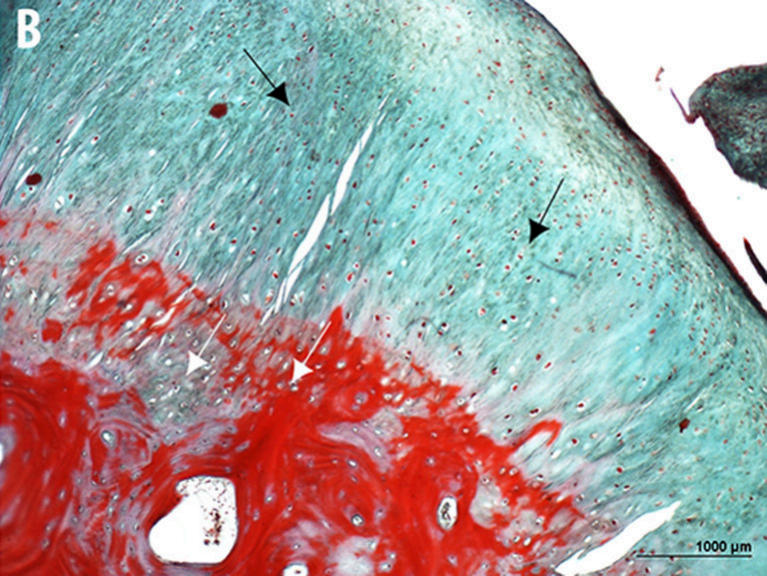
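A thick cap of hyaline cartilage, stained blue-green, with small cells sitting singly in lacunae, covers a base of cancellous bone stained bright red. Where the two meet, the cartilage gives way irregularly to red bone, and the red trabeculae below enclose rounded marrow spaces.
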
